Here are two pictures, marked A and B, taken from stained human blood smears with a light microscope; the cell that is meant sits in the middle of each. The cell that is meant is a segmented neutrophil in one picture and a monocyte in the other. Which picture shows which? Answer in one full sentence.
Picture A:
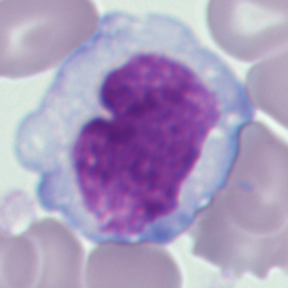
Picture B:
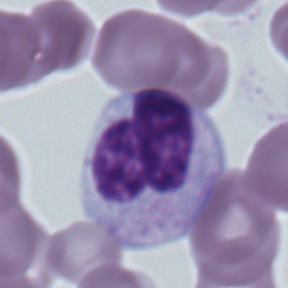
The cell in picture A is a monocyte, and the one in picture B is a segmented neutrophil.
